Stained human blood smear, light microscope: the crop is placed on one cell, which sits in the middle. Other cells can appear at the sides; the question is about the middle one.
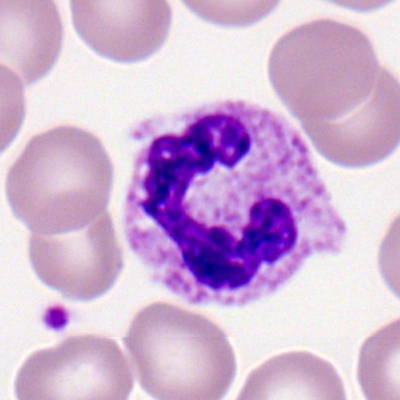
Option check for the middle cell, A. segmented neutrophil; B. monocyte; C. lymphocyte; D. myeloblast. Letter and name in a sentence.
Occupying the middle of the crop is a segmented neutrophil, hence option A is correct.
